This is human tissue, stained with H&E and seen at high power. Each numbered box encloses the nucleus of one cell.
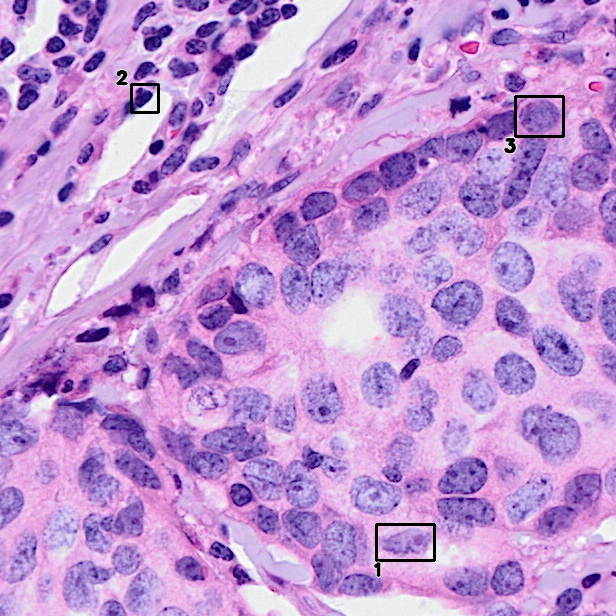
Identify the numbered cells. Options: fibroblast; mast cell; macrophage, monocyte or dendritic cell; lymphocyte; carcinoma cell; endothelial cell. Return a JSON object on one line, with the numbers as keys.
{"1": "carcinoma cell", "2": "lymphocyte", "3": "carcinoma cell"}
